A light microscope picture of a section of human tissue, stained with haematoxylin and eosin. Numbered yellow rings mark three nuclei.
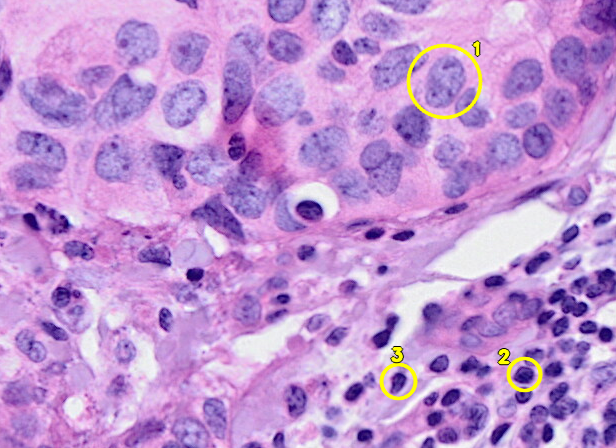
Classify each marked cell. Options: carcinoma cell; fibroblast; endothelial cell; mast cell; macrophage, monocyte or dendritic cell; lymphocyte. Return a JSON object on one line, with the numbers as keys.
{"1": "carcinoma cell", "2": "lymphocyte", "3": "lymphocyte"}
